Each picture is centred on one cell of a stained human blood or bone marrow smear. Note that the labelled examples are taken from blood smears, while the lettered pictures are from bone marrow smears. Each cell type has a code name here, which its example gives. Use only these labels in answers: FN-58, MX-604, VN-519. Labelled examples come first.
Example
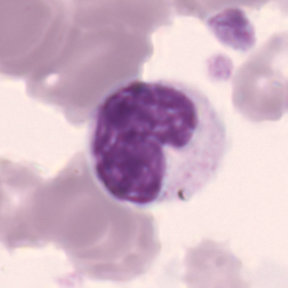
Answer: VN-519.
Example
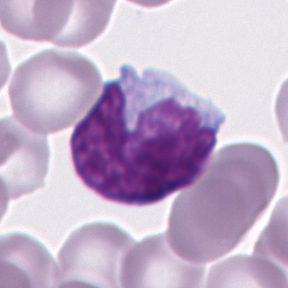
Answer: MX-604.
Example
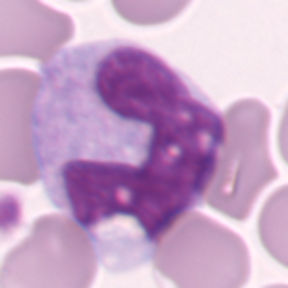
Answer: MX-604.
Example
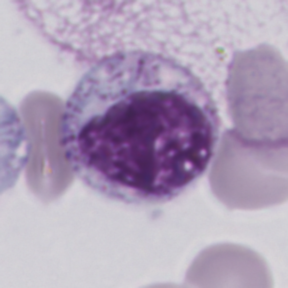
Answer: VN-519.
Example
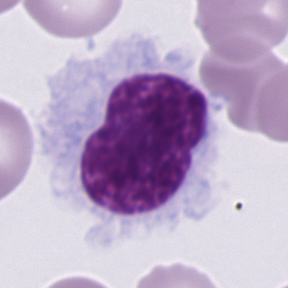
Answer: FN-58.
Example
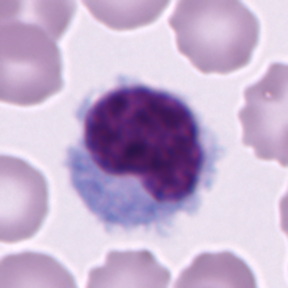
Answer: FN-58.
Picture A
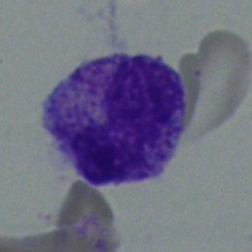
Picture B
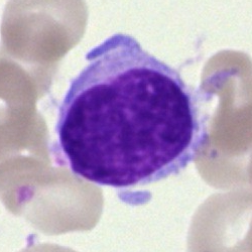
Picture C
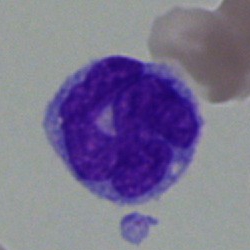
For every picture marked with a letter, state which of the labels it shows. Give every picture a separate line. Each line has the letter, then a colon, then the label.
A: VN-519.
B: FN-58.
C: MX-604.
